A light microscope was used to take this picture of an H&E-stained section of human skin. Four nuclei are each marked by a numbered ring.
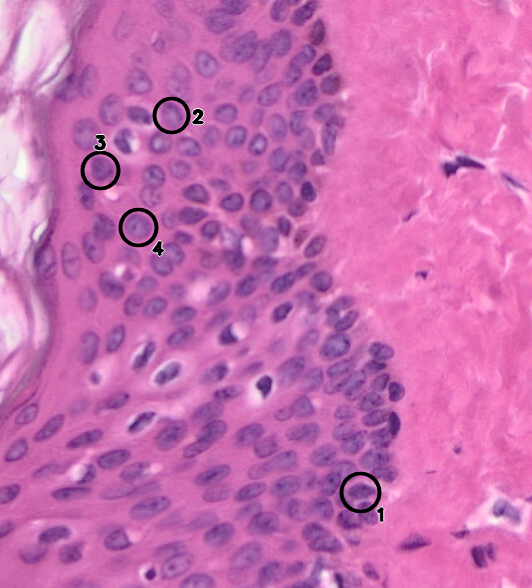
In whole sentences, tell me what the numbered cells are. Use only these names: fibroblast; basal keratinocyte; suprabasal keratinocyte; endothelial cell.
Cell 1 is a basal keratinocyte. Cells 2, 3 and 4 are suprabasal keratinocytes.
